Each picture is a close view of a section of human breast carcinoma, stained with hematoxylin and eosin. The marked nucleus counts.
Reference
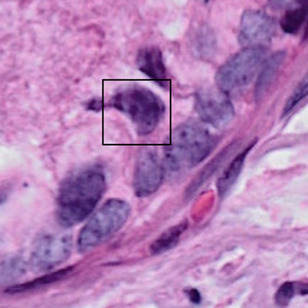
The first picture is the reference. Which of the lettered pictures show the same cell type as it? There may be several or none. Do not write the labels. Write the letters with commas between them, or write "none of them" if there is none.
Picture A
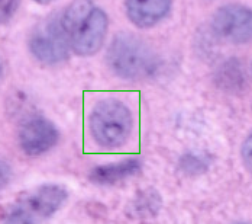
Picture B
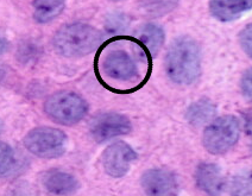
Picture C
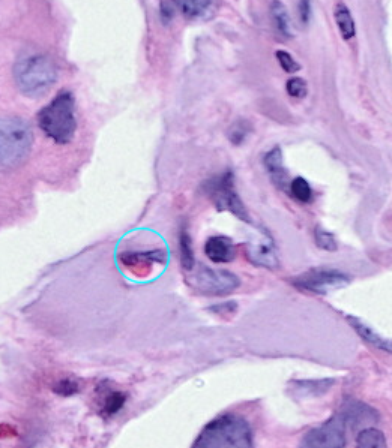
A, B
